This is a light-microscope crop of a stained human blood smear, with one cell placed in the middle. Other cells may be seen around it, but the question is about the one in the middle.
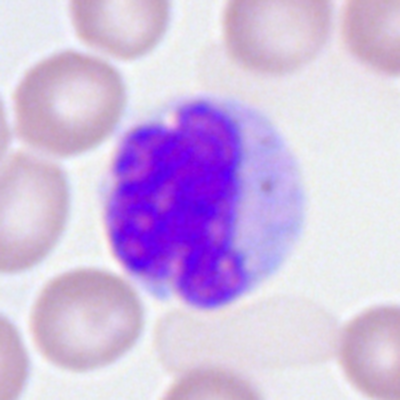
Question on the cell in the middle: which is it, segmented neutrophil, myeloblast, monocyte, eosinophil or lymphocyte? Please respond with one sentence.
Of the cells in this crop, the central one is a monocyte.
